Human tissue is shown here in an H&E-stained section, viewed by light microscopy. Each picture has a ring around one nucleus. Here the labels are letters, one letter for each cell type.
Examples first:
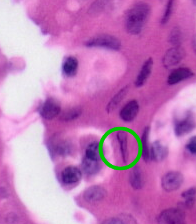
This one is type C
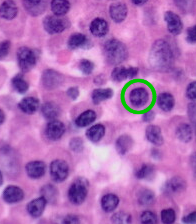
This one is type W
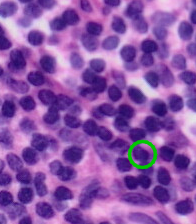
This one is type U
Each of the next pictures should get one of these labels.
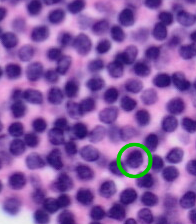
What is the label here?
type U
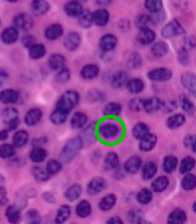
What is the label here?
type W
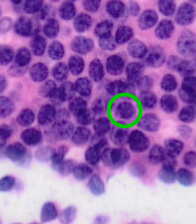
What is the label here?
type U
